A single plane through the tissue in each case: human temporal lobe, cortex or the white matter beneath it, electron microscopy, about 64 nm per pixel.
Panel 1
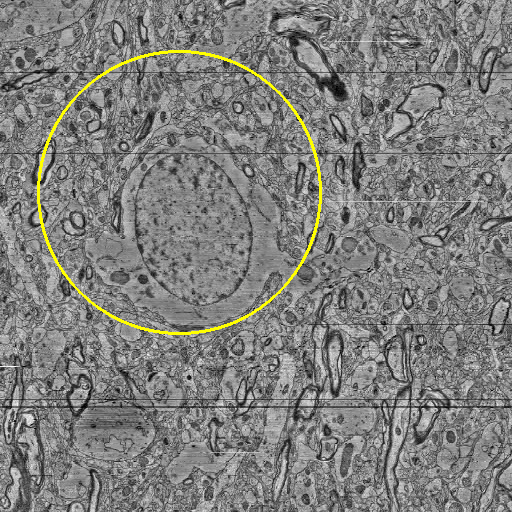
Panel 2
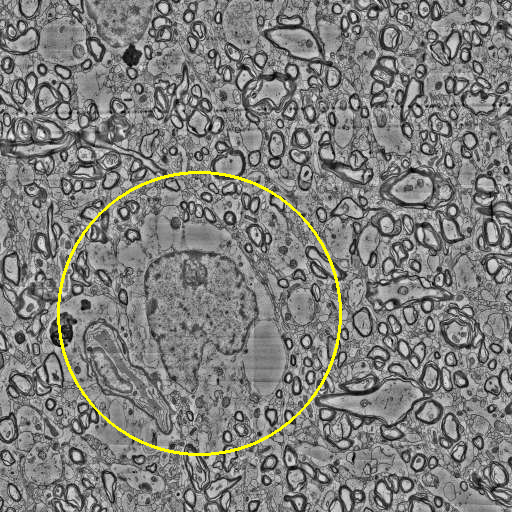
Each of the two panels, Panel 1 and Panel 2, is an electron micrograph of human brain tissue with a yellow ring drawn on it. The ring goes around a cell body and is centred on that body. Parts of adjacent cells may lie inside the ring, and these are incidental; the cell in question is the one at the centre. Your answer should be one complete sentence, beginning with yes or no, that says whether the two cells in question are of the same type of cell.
Yes, the two cells are of the same type.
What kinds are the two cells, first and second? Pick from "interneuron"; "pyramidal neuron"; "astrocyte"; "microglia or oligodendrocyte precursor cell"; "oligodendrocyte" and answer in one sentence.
Each cell at the centre of a ring is an astrocyte.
